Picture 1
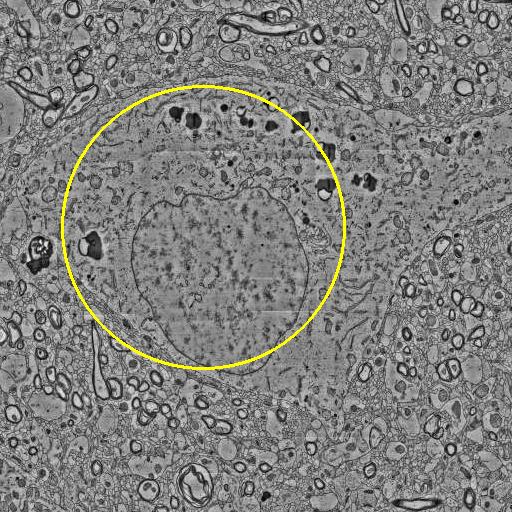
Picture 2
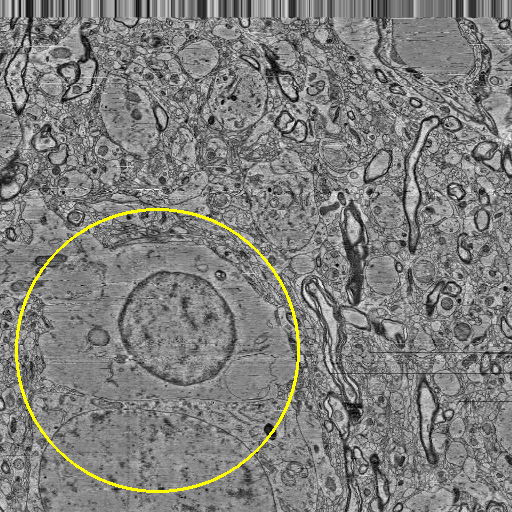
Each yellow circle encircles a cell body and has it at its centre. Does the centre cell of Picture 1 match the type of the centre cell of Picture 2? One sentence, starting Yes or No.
No, the cell centred in Picture 1 and the one in Picture 2 have separate types.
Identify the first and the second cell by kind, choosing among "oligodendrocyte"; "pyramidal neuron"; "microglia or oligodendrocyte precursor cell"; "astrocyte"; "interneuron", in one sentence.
The one in the first picture is a pyramidal neuron, while the one in the second is an astrocyte.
